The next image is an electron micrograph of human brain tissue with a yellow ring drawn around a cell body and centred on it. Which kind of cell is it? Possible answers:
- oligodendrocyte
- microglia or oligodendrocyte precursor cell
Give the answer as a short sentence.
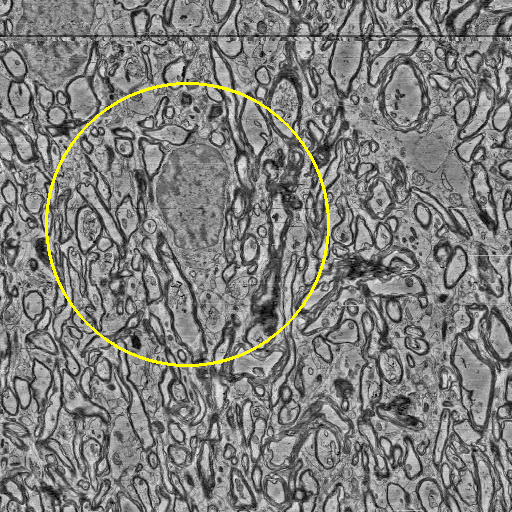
In the ring's centre is an oligodendrocyte.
